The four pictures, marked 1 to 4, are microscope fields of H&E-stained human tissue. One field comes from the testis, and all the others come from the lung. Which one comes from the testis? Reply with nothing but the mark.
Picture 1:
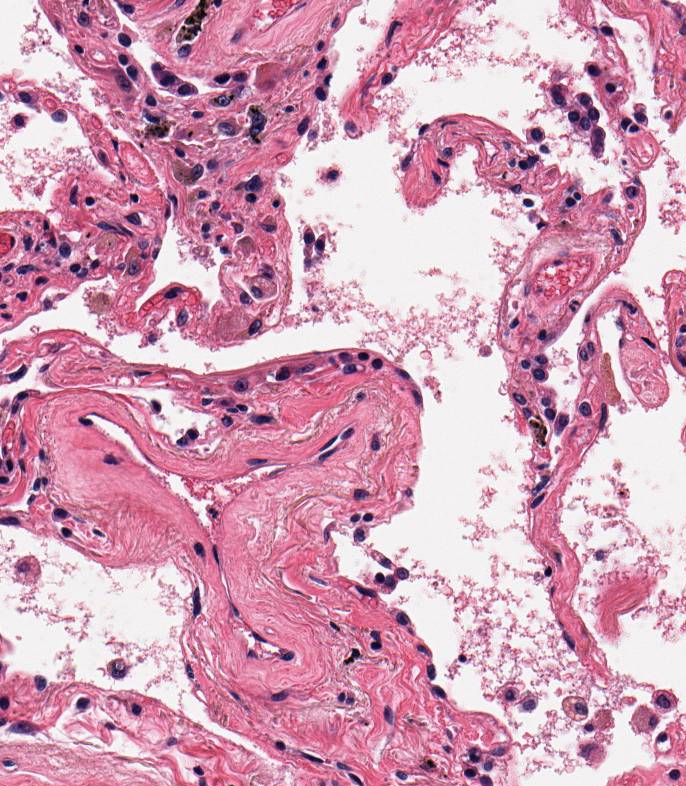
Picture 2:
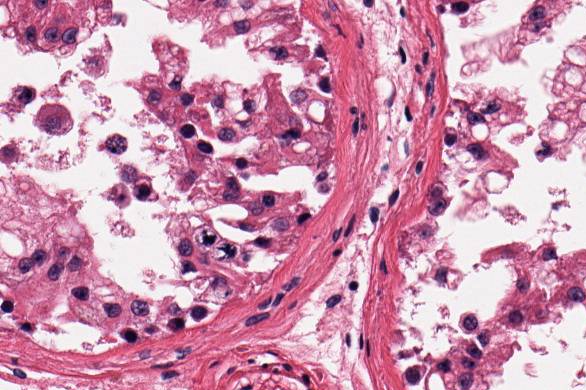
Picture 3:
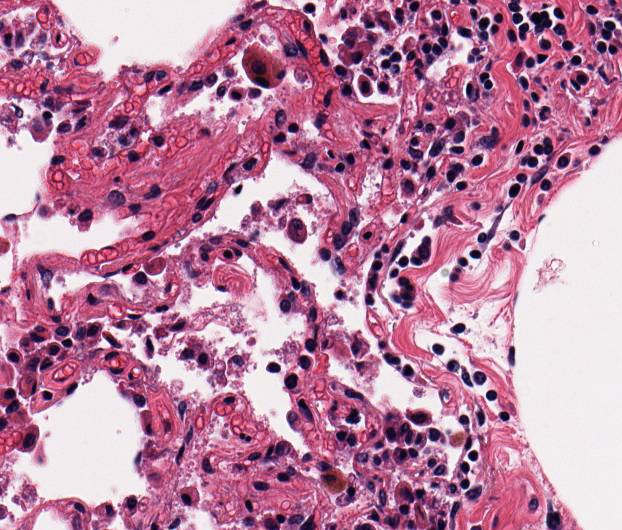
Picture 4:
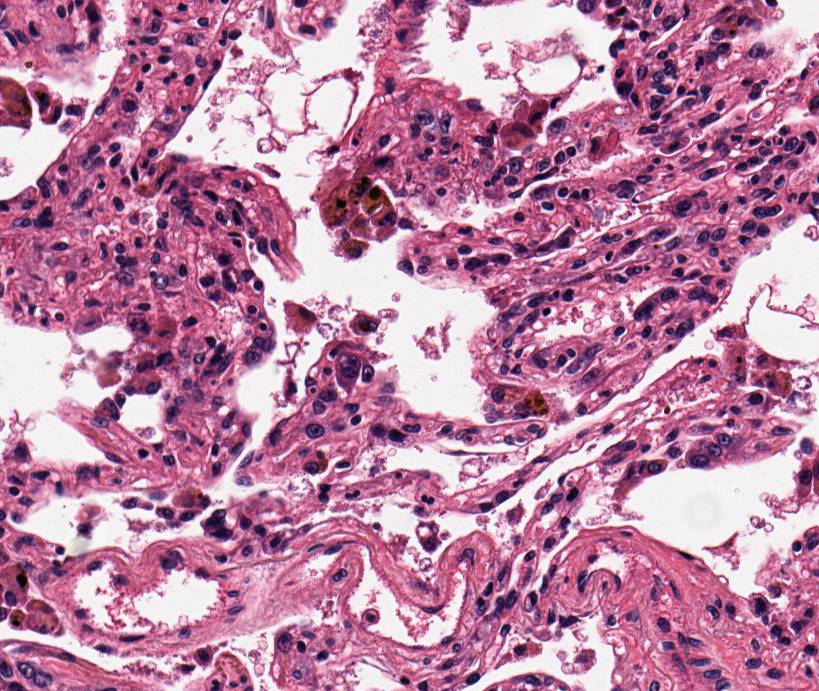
2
